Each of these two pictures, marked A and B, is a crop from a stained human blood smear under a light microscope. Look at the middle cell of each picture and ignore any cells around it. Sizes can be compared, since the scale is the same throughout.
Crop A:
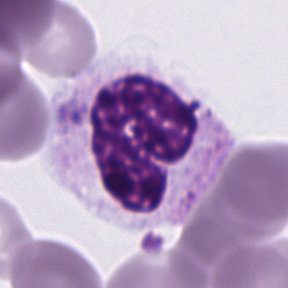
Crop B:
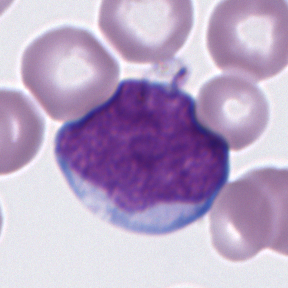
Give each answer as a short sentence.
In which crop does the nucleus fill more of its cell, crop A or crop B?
Of the two, the nucleus in crop B makes up the greater part of its cell.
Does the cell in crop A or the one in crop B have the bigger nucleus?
Crop B shows the larger nucleus; it covers about 1.5 times the area of the nucleus in crop A.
